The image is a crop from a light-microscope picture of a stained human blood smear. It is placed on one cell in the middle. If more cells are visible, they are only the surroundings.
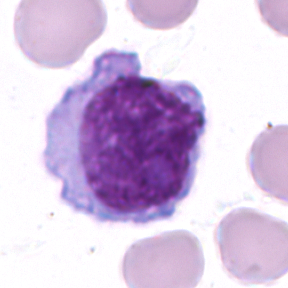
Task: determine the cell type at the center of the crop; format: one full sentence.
In this crop, the cell at the very middle is a plasma cell.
